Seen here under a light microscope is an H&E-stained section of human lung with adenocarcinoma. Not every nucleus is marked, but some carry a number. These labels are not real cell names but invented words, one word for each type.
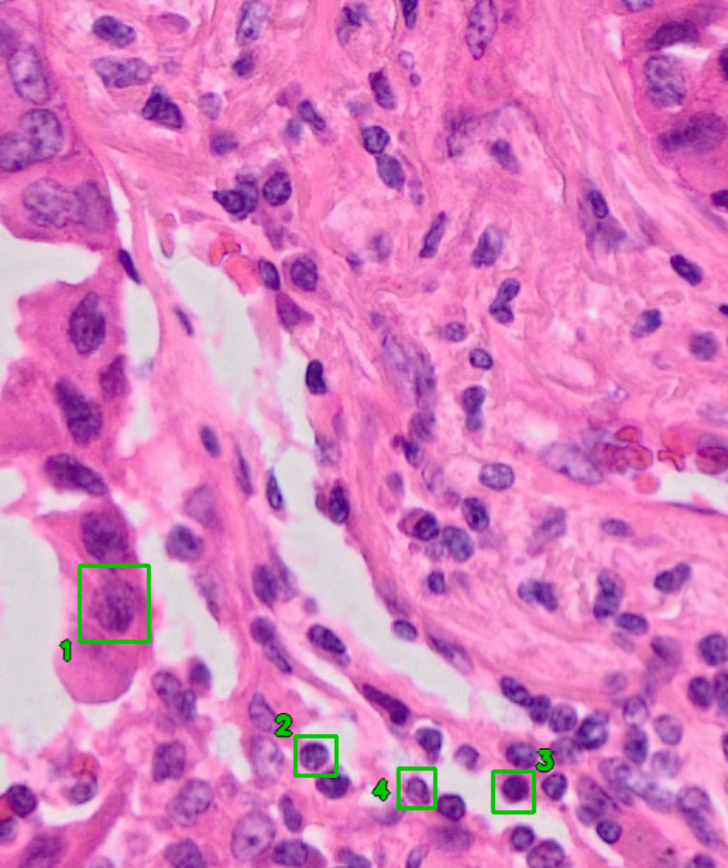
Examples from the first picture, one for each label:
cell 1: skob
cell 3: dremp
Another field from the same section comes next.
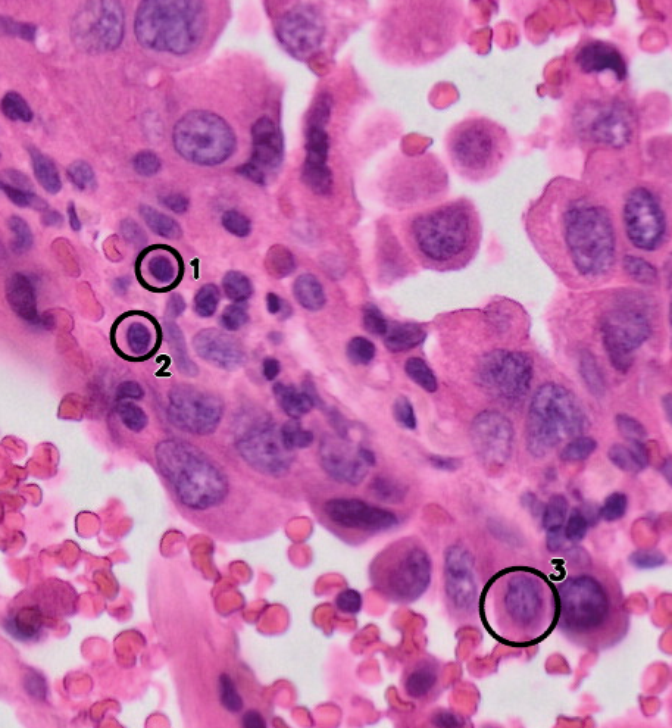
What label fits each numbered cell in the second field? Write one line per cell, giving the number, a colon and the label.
1: dremp
2: dremp
3: skob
